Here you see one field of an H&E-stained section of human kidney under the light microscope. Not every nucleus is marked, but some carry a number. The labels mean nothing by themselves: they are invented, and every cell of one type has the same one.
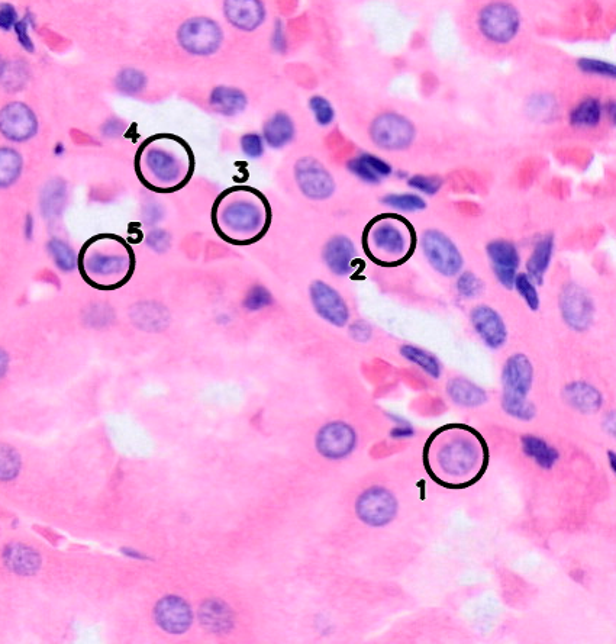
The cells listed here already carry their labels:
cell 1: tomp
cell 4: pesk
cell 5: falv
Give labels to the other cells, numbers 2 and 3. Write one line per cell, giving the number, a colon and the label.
2: falv
3: pesk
